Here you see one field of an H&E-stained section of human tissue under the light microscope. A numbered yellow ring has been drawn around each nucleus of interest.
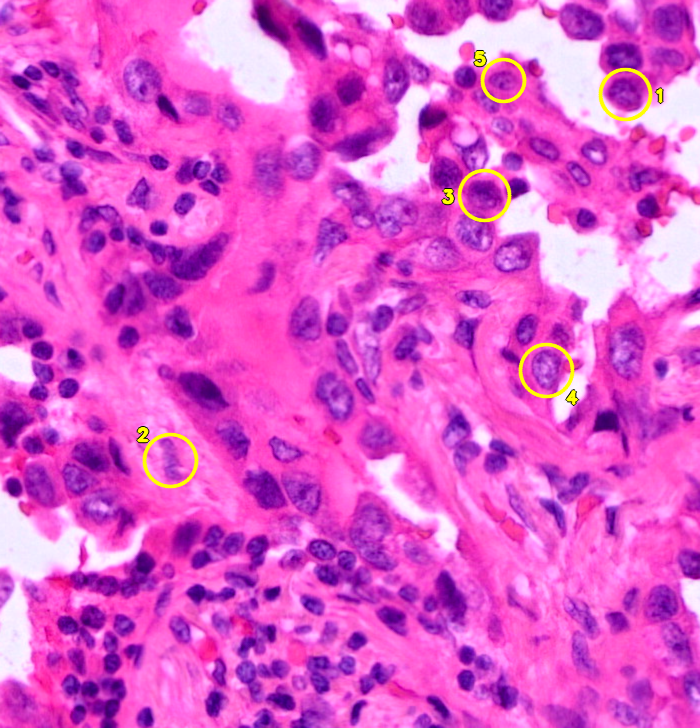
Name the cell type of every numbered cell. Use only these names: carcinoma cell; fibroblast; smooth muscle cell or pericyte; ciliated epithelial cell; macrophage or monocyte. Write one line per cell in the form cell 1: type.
cell 1: carcinoma cell
cell 2: fibroblast
cell 3: carcinoma cell
cell 4: carcinoma cell
cell 5: macrophage or monocyte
